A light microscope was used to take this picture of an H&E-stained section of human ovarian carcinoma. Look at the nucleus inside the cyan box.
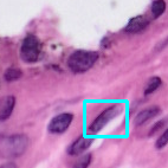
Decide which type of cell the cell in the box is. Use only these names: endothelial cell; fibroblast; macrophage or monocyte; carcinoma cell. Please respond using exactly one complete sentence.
In the stained section, the cell in the box is an endothelial cell.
